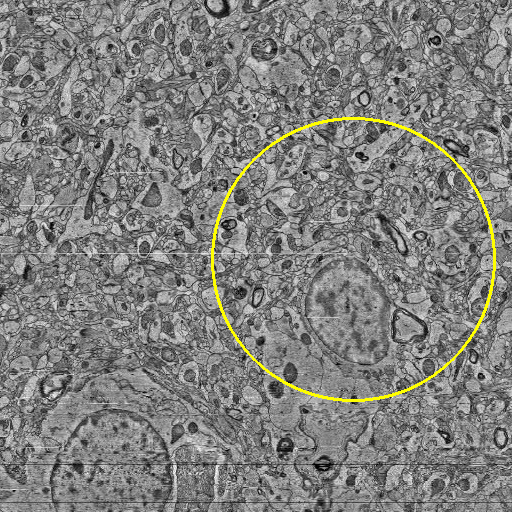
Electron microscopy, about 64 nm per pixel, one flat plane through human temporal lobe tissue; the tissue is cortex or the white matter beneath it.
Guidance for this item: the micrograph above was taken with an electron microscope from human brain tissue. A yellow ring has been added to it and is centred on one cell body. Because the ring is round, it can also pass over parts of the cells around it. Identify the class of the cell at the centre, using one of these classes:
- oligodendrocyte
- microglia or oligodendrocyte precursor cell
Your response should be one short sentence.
The ring surrounds the body of an oligodendrocyte.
